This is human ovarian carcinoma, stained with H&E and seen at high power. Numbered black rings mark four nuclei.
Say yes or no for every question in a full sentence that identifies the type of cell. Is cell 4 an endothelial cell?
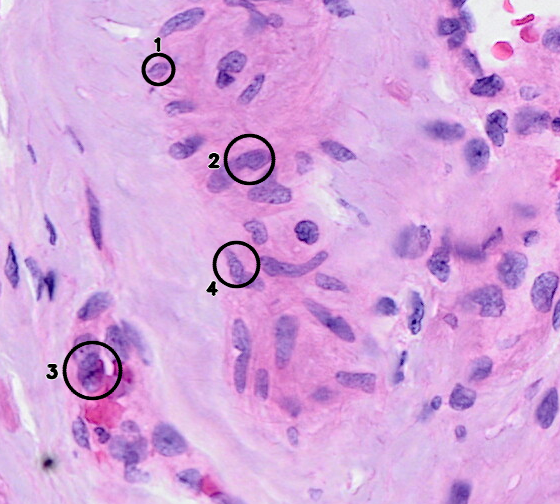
No, cell 4 is classified as a smooth muscle cell rather than an endothelial cell.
